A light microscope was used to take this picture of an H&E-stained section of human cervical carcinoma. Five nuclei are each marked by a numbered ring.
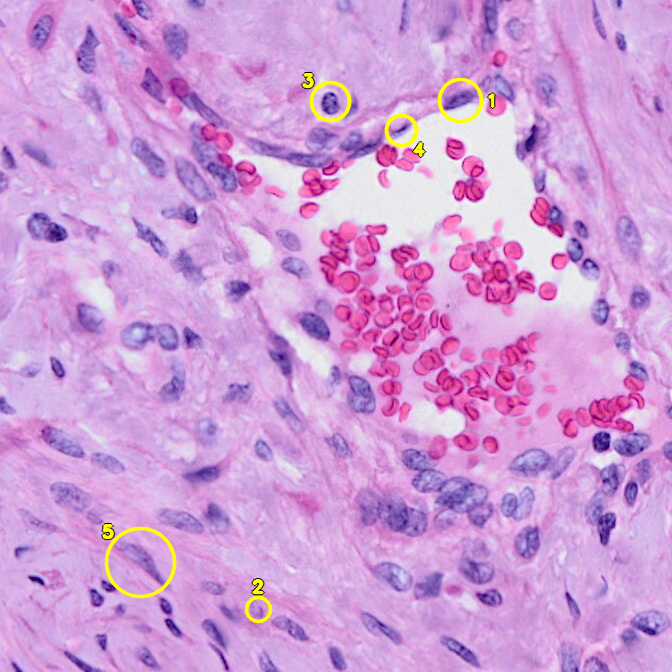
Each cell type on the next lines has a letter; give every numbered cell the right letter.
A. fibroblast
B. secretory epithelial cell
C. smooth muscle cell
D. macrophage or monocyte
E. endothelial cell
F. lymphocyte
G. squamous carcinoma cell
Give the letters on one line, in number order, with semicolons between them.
E; C; F; E; C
